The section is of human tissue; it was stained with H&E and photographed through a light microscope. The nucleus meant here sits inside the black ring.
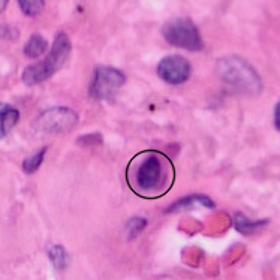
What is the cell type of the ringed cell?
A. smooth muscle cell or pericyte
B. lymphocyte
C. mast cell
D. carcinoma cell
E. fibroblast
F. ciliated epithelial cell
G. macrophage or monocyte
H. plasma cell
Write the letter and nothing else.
H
